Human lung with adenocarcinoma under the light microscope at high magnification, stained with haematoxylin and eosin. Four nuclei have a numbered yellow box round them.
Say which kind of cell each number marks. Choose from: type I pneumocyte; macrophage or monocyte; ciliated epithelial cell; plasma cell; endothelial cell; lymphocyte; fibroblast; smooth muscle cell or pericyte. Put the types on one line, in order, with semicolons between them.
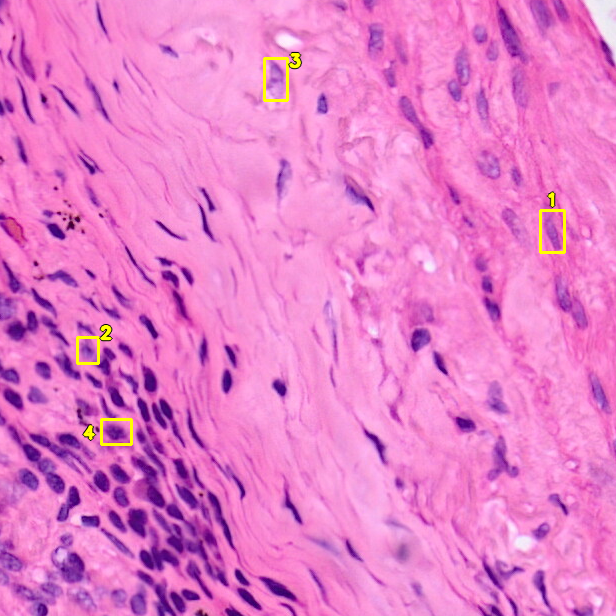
smooth muscle cell or pericyte; lymphocyte; fibroblast; plasma cell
